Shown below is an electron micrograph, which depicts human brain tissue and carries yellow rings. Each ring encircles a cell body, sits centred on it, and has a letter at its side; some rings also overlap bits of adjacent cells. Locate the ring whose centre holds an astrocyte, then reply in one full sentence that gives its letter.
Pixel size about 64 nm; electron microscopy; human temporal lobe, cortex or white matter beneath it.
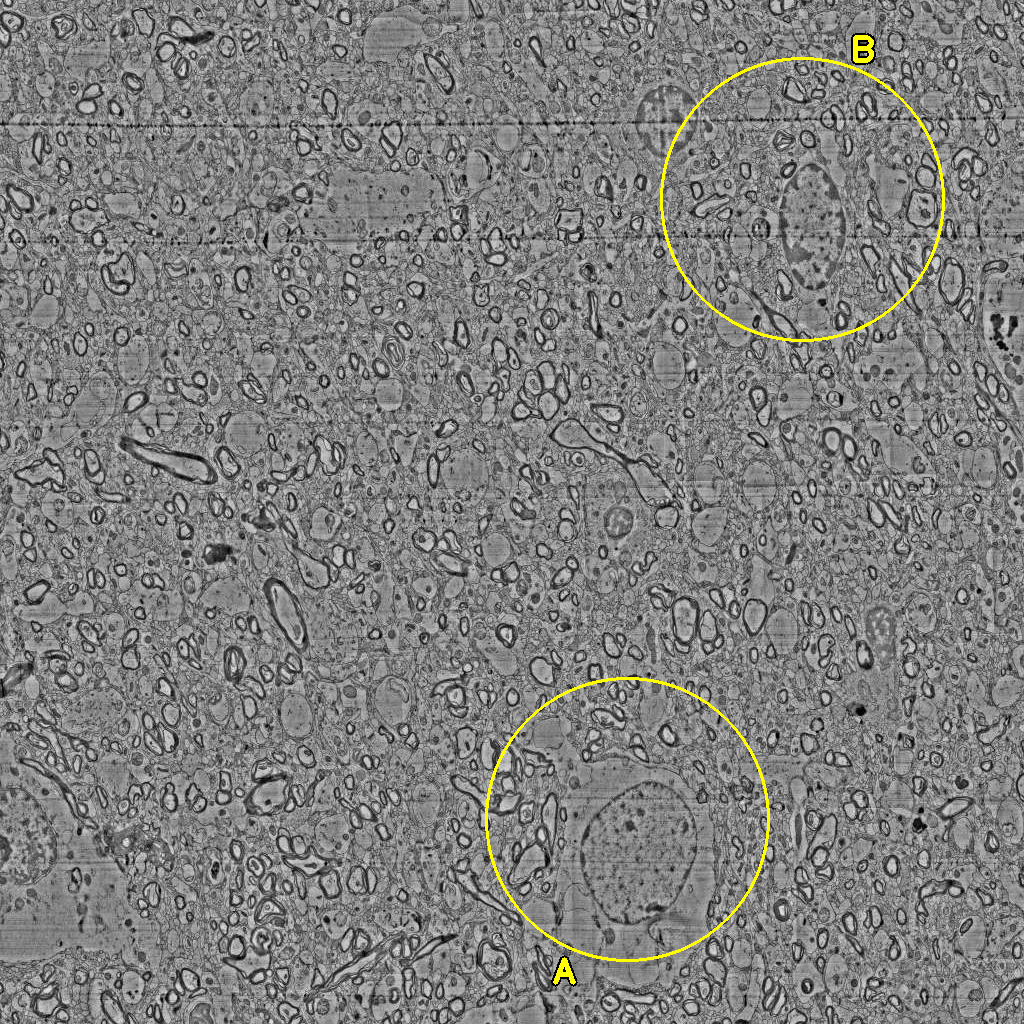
The ring centred on the cell asked for is the one marked A.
